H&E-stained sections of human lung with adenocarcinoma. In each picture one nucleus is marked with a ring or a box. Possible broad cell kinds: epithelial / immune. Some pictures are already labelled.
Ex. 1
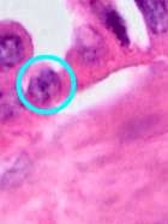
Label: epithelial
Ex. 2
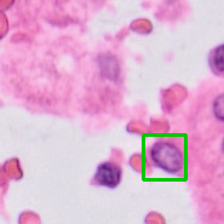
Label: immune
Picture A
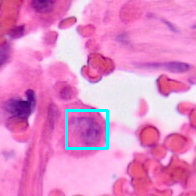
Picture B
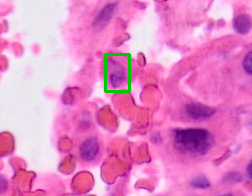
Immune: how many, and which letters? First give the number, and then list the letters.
Count: 2 (A, B)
